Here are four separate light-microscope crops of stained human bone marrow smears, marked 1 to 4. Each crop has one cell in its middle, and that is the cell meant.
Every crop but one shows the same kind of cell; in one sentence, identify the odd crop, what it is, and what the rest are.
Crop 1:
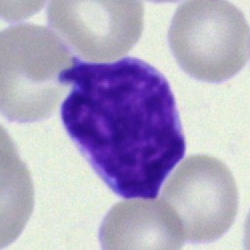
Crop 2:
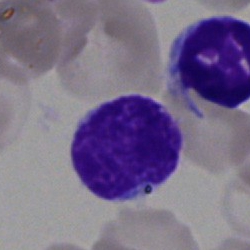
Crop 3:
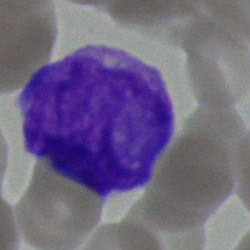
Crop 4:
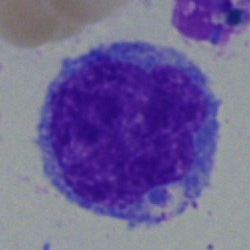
The crop that differs is crop 2, showing a lymphocyte; the others show blasts.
